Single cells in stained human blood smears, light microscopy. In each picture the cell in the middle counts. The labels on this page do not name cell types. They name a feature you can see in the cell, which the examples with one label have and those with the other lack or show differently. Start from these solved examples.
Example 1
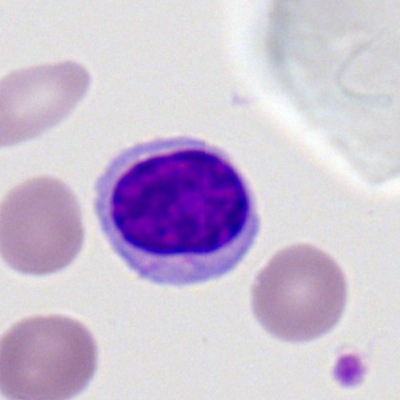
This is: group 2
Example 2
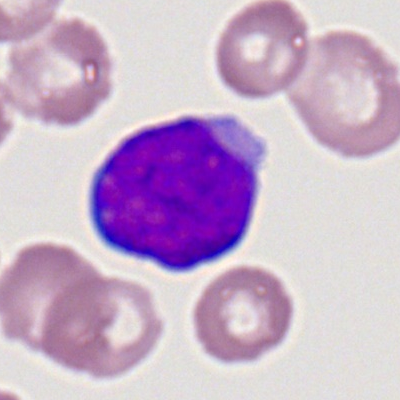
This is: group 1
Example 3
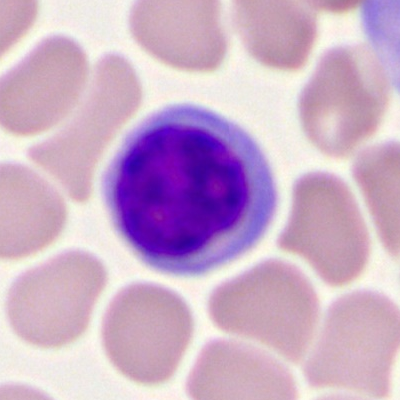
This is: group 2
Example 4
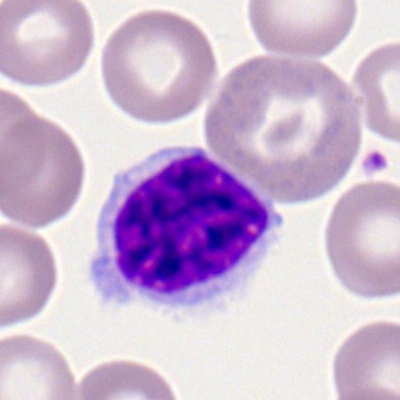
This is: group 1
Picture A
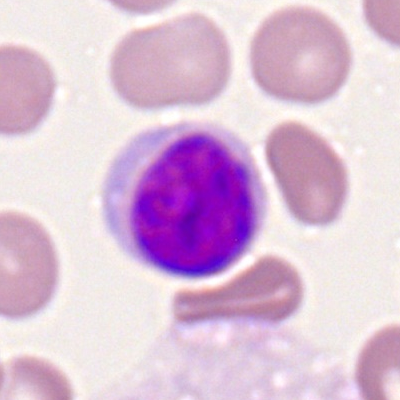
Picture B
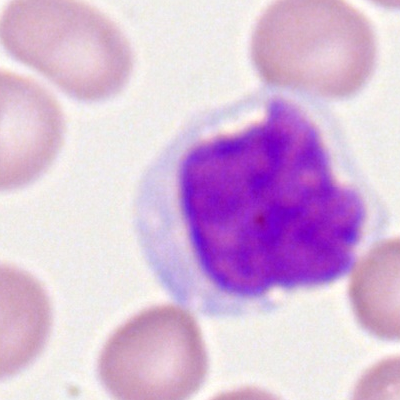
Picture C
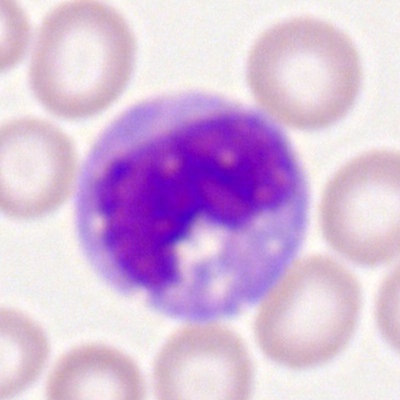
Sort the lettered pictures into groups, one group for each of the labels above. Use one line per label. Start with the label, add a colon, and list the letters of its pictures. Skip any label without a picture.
group 2: A, B, C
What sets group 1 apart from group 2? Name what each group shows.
Seen in group 1: ragged outline or projections; seen in group 2: smooth outline.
